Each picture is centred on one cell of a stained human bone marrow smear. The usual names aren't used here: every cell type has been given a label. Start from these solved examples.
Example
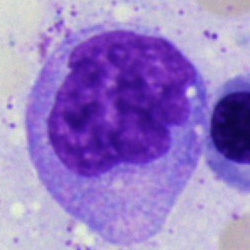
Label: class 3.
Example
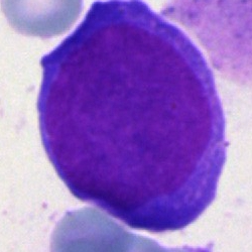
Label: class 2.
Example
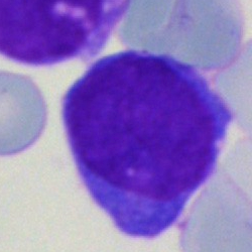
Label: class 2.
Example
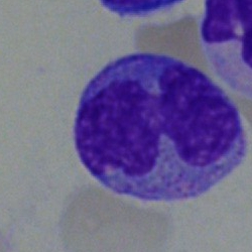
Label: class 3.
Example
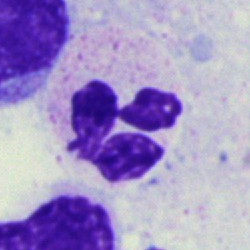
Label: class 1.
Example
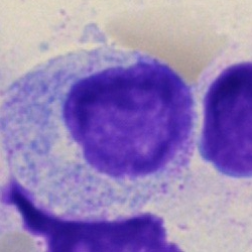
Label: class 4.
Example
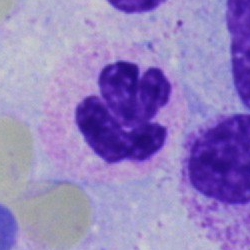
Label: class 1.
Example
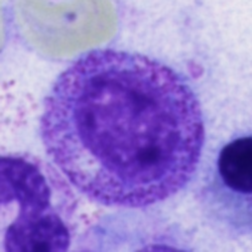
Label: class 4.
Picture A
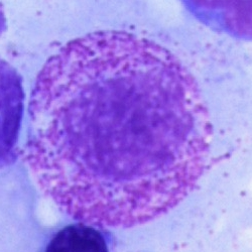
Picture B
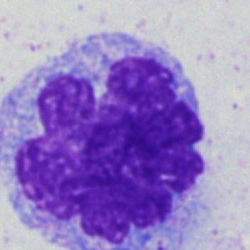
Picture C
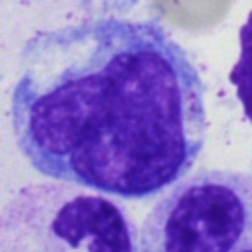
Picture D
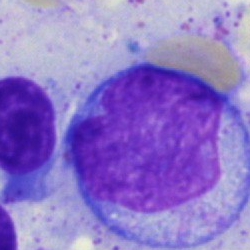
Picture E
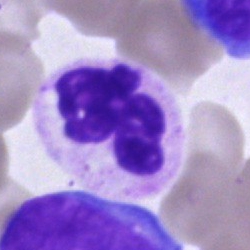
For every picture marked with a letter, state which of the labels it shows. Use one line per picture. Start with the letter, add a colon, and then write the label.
A: class 4.
B: class 3.
C: class 3.
D: class 2.
E: class 1.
